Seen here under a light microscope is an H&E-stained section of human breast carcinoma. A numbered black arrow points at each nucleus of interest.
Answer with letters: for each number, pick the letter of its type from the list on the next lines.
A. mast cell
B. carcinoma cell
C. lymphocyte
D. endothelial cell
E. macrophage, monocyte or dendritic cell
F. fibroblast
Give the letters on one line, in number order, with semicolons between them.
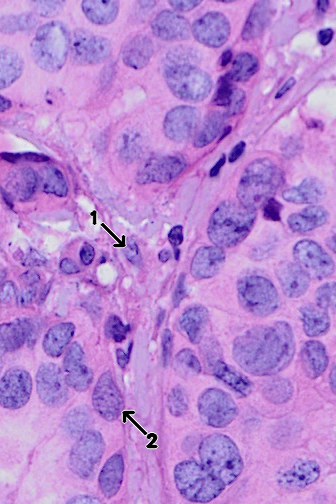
E; B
